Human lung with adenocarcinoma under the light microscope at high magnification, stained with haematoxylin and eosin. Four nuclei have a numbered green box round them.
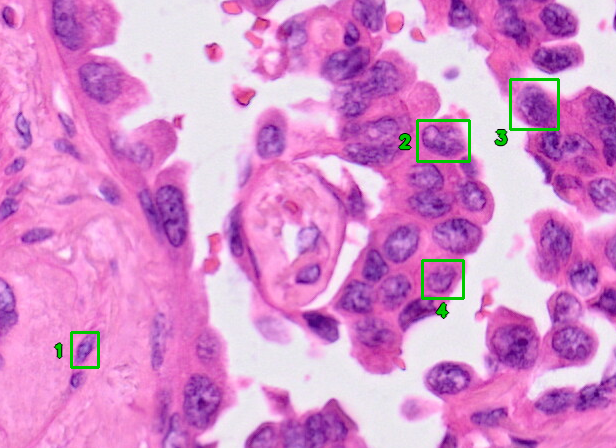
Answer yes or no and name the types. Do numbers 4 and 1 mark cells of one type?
No, unlike cell 1, which is a smooth muscle cell or pericyte, cell 4 is a carcinoma cell.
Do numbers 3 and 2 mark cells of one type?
Yes, cells 3 and 2 are two carcinoma cells.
